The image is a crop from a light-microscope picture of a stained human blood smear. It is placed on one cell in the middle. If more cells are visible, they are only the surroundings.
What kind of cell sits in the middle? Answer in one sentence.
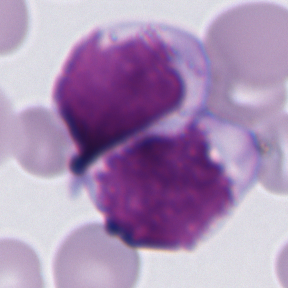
Looking at the middle of the crop, the cell there is a large granular lymphocyte.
